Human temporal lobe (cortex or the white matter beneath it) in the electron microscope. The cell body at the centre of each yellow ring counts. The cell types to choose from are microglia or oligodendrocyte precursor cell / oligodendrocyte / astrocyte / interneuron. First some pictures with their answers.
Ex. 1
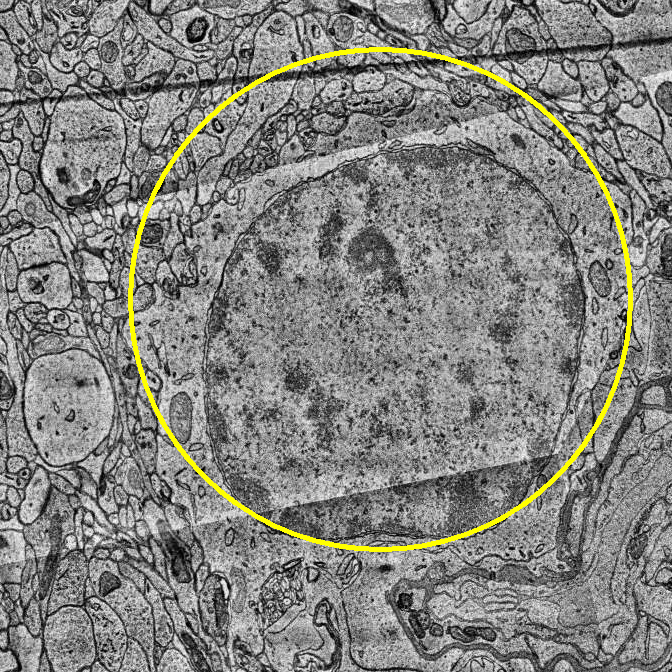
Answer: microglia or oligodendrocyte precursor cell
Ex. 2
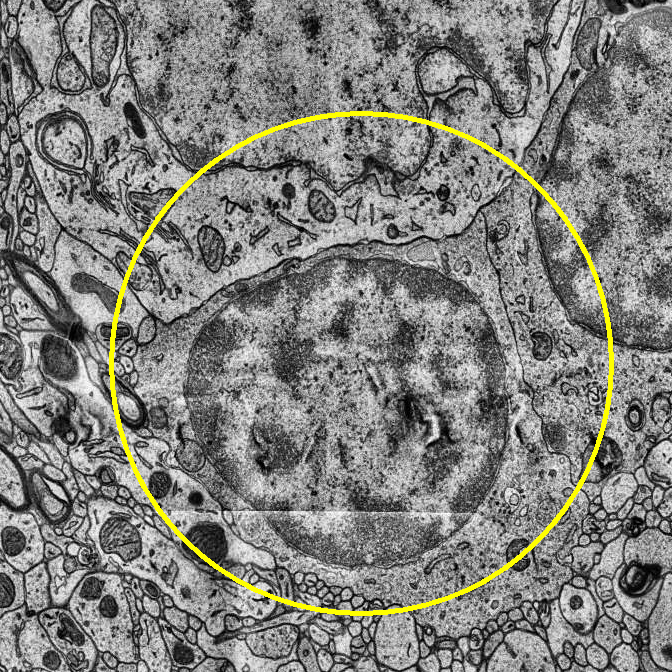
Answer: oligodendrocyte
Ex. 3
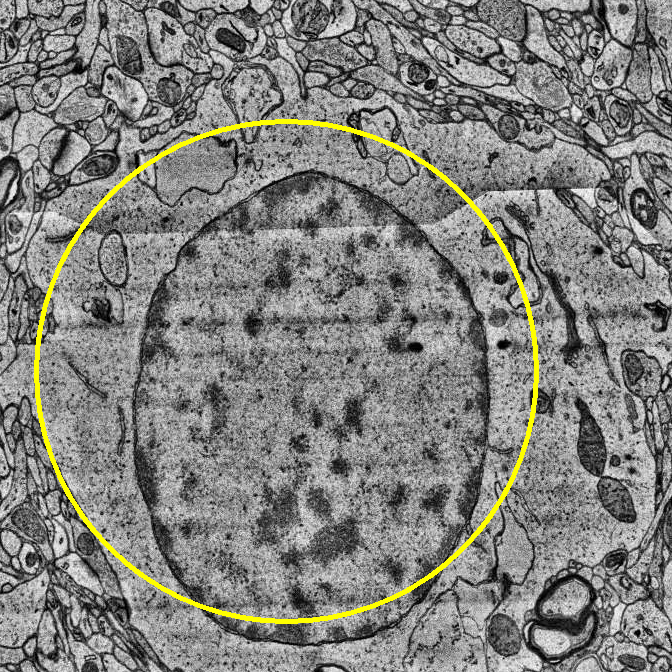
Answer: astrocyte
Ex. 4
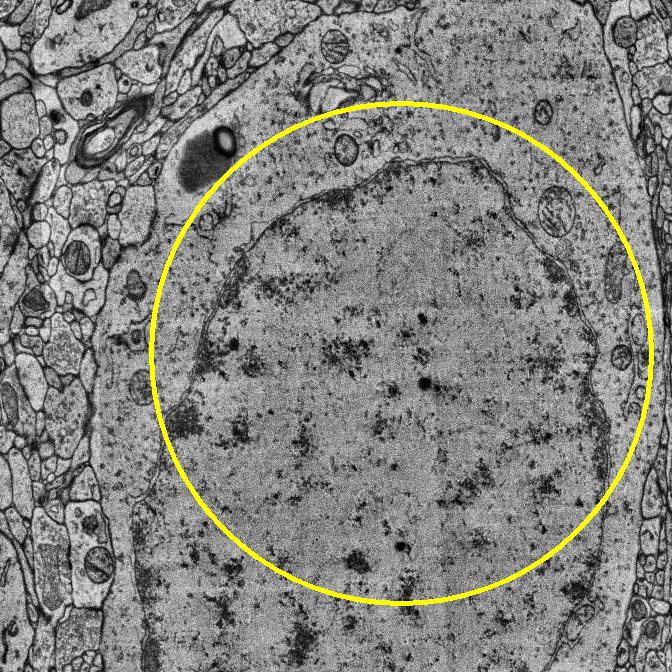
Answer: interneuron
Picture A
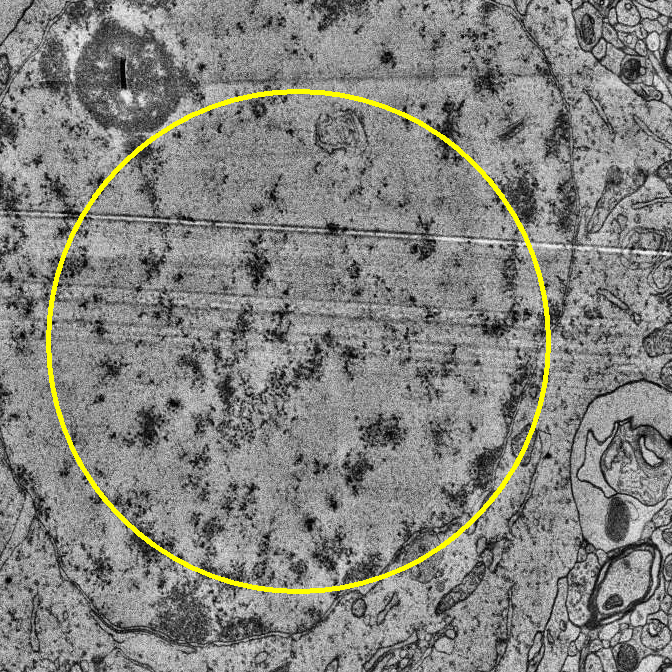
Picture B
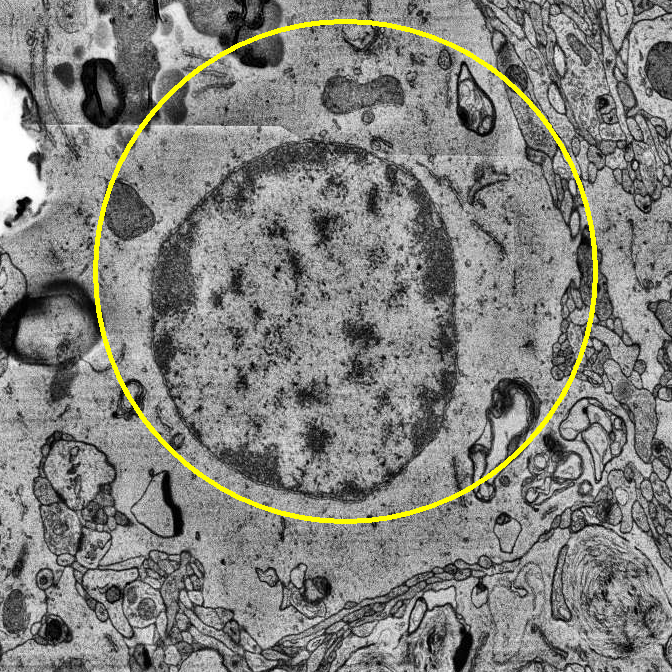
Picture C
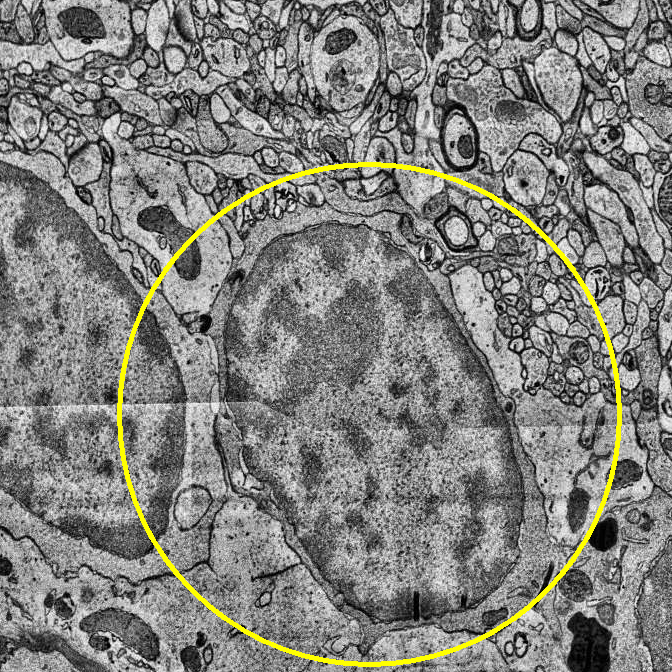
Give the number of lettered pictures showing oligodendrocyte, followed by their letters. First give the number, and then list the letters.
Count: 1 (C)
